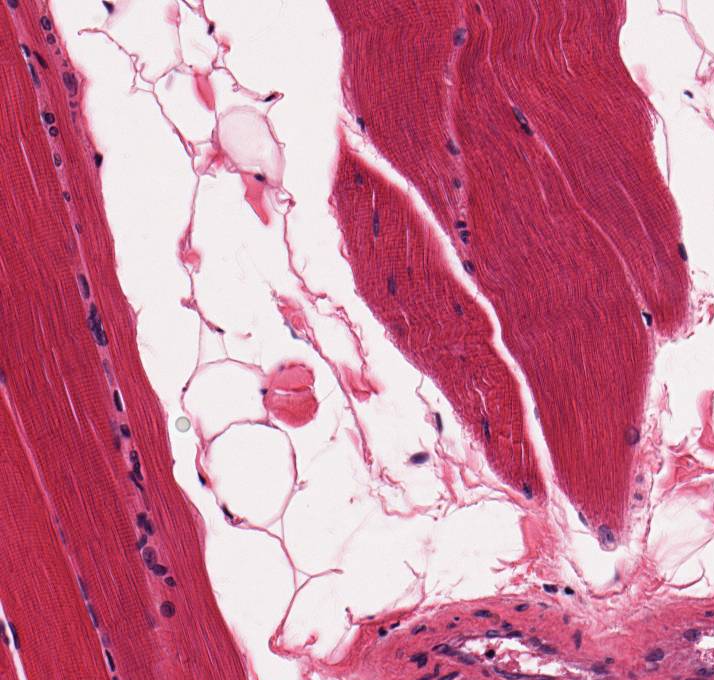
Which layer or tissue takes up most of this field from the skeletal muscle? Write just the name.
skeletal muscle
